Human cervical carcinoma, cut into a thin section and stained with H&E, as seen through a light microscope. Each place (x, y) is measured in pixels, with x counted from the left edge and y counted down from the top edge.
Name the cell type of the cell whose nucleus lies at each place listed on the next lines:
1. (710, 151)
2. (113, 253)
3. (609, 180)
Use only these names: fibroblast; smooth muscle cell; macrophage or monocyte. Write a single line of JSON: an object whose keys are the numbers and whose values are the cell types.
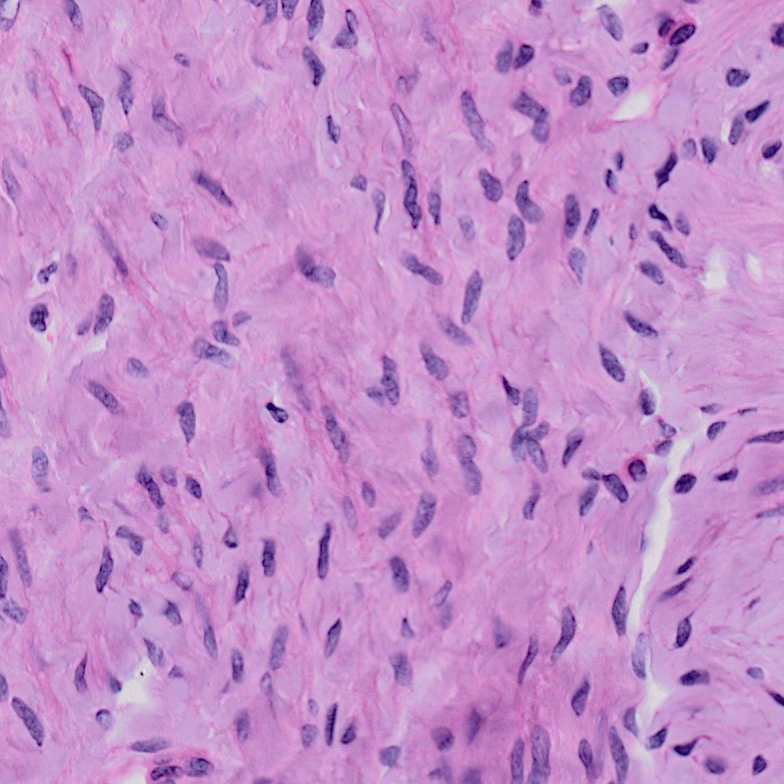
{"1": "fibroblast", "2": "smooth muscle cell", "3": "fibroblast"}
